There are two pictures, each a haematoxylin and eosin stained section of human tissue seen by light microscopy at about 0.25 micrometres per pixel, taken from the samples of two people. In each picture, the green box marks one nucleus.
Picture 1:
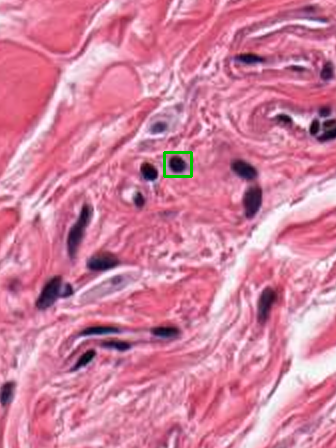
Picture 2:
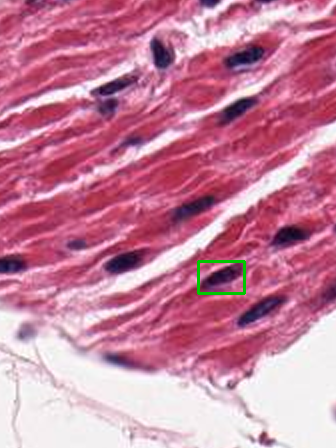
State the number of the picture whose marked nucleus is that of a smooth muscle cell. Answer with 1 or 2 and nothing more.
2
